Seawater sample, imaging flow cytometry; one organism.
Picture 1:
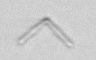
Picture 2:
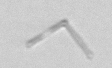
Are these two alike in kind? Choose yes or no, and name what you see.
Yes. Nanoneis.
